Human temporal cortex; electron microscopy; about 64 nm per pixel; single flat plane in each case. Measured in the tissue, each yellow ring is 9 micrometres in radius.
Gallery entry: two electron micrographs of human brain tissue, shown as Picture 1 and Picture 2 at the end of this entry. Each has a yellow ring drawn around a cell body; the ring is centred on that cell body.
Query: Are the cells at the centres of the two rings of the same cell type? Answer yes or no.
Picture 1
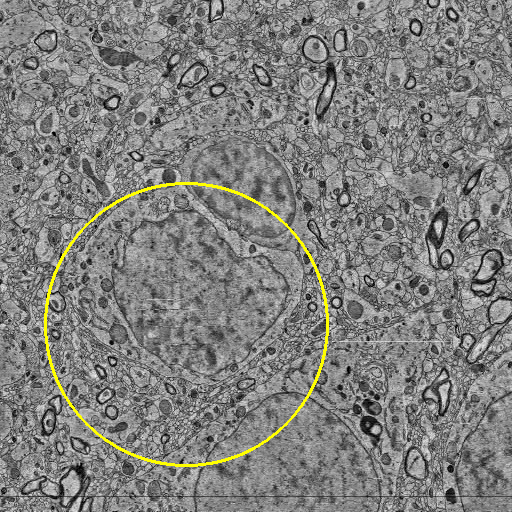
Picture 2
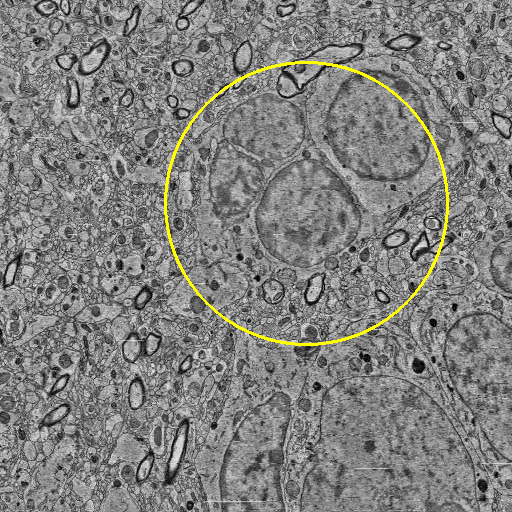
no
